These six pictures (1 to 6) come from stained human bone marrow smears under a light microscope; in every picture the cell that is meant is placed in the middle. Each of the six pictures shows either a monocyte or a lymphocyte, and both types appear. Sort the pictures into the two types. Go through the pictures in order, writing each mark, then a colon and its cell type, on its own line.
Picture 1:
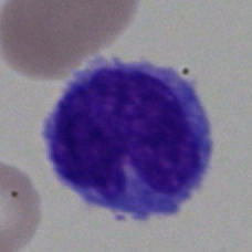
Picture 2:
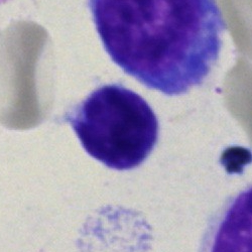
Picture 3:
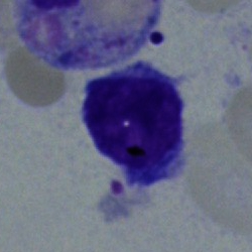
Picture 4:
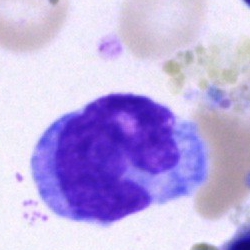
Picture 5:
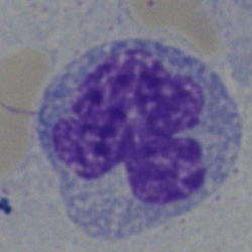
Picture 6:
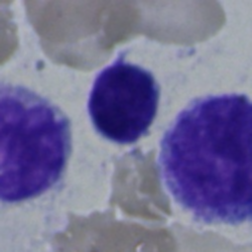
1: monocyte
2: lymphocyte
3: lymphocyte
4: monocyte
5: monocyte
6: lymphocyte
